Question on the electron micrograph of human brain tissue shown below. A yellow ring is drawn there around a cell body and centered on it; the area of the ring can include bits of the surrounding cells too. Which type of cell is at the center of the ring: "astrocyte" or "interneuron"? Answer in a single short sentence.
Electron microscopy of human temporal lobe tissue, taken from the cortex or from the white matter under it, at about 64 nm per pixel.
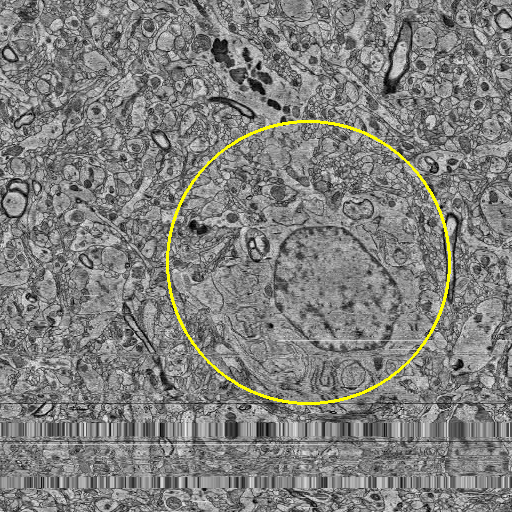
The ring is centered on an astrocyte.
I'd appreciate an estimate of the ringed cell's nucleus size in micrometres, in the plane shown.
The nucleus has a long axis of about 9 micrometres and a short axis of about 7 micrometres in this plane.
